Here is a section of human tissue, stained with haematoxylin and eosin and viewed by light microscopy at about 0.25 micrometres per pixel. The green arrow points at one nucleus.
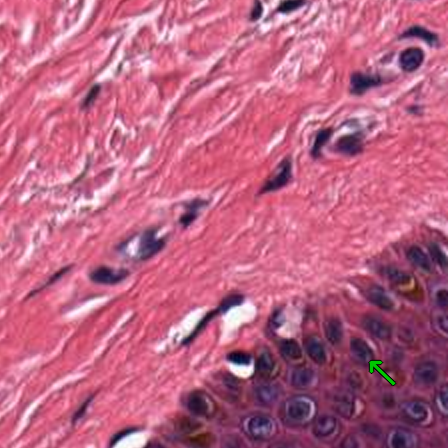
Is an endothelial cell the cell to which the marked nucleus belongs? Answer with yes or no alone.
no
